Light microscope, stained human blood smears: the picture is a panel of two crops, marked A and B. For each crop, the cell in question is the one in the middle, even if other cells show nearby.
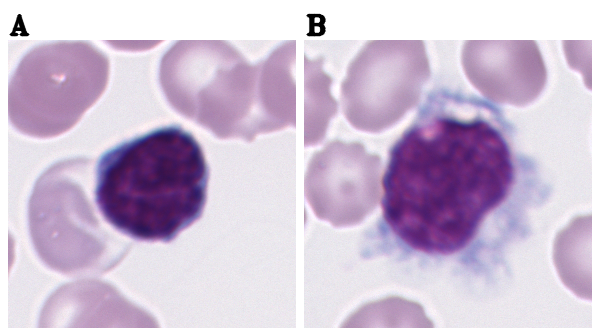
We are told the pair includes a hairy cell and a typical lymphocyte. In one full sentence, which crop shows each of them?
In this set, crop A shows a typical lymphocyte and crop B shows a hairy cell.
